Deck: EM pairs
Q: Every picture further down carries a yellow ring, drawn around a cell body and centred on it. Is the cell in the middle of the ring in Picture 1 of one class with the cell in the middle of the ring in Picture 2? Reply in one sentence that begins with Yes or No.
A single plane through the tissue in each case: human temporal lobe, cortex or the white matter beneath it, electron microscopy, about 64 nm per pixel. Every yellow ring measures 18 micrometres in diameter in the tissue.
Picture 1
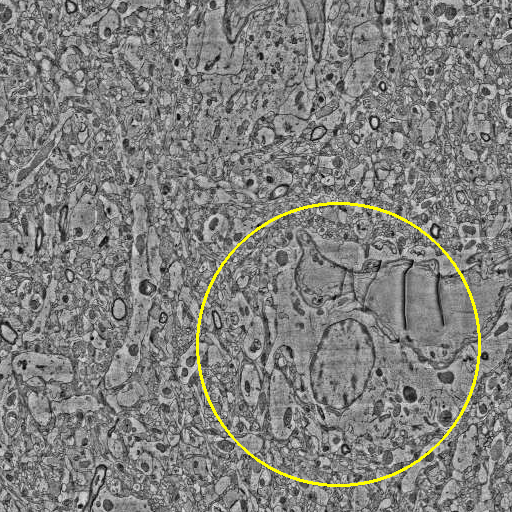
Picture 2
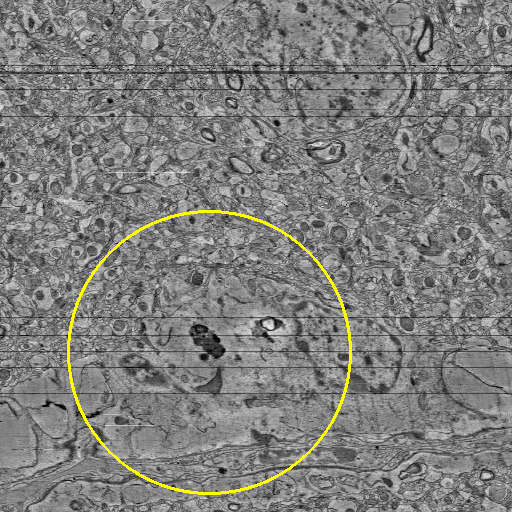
Yes, the cell centred in the ring of Picture 1 and the one in Picture 2 belong to one class.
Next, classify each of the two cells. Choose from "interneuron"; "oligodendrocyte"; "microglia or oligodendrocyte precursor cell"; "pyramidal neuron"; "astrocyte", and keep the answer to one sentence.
The ring centre holds a microglial cell or oligodendrocyte precursor cell in each of the two pictures.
